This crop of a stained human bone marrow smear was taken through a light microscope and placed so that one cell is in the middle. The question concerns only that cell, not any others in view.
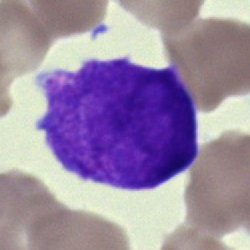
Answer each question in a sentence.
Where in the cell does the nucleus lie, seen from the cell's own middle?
The nucleus is pushed toward the right of the cell.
